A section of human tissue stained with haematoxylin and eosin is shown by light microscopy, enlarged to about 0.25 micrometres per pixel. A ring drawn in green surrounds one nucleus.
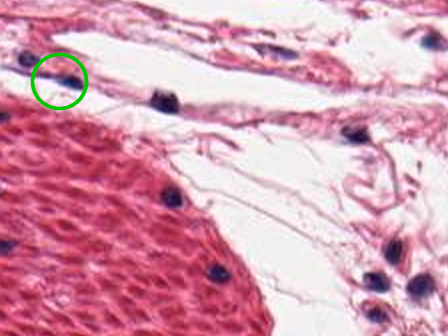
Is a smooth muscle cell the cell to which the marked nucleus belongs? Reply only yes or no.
no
